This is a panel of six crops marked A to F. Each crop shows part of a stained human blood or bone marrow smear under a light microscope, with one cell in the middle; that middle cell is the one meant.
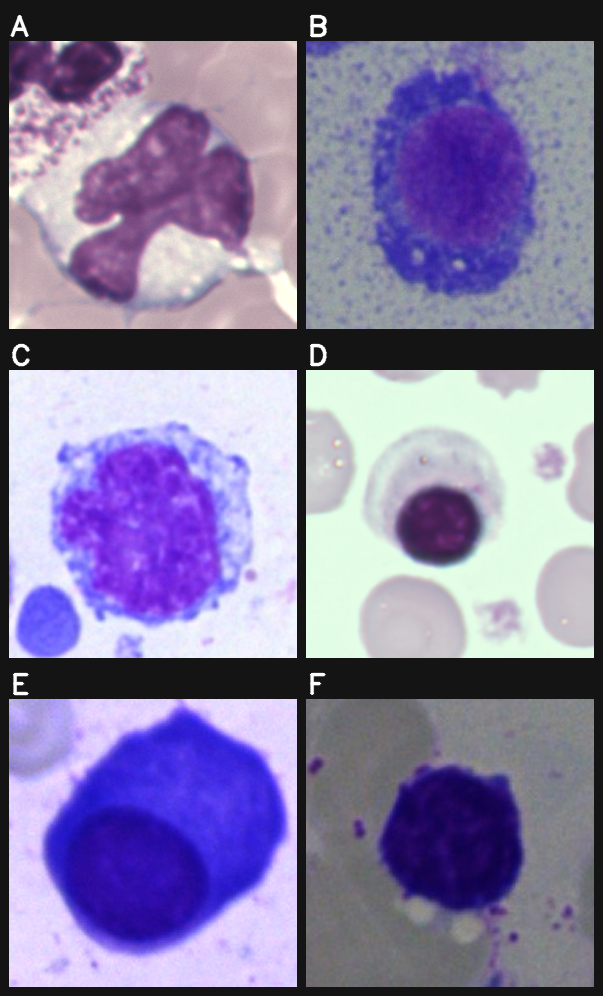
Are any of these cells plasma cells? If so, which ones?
B, E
